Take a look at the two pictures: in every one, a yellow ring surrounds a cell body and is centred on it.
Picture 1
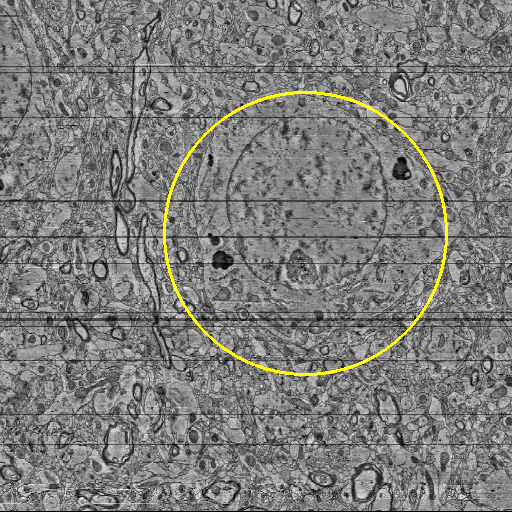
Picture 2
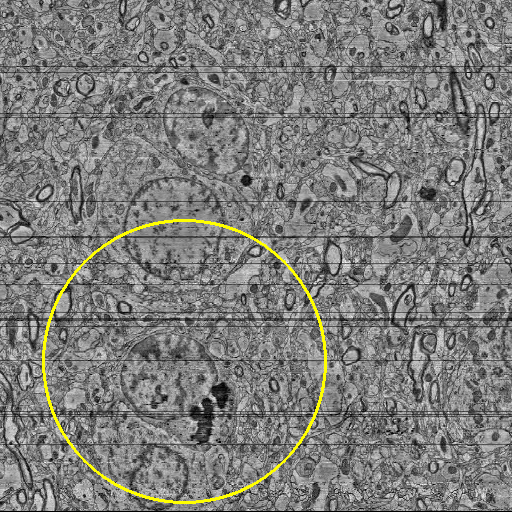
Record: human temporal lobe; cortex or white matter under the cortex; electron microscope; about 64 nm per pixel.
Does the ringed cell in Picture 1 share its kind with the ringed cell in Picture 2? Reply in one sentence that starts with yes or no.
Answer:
No, the two centred cells, one per picture, are of two kinds.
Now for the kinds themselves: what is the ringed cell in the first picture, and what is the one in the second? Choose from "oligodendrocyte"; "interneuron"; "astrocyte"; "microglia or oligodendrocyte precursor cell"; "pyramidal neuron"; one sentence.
Here the first cell is a pyramidal neuron and the second cell is an oligodendrocyte.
